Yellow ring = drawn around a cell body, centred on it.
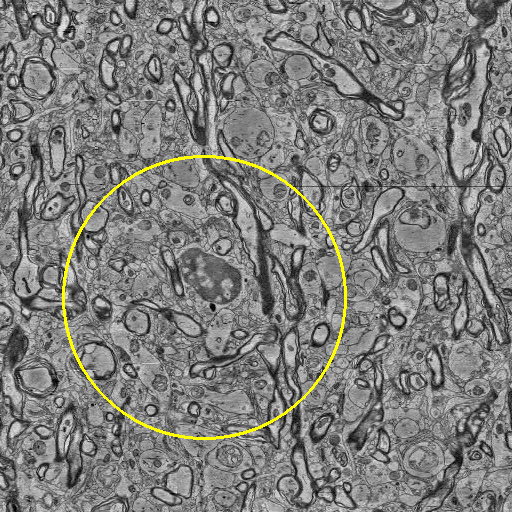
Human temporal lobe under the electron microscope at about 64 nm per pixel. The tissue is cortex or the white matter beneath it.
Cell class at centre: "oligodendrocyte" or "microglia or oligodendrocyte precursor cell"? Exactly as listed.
microglia or oligodendrocyte precursor cell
